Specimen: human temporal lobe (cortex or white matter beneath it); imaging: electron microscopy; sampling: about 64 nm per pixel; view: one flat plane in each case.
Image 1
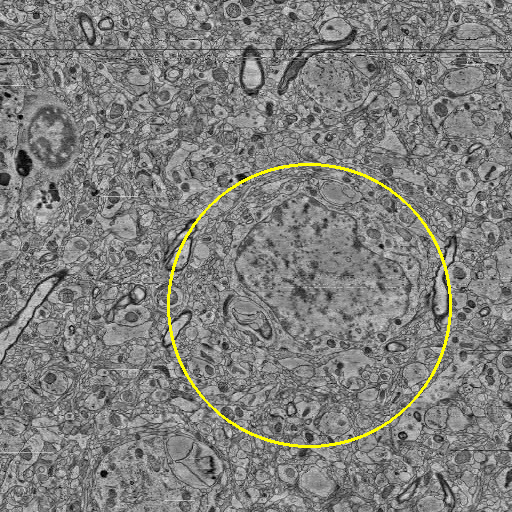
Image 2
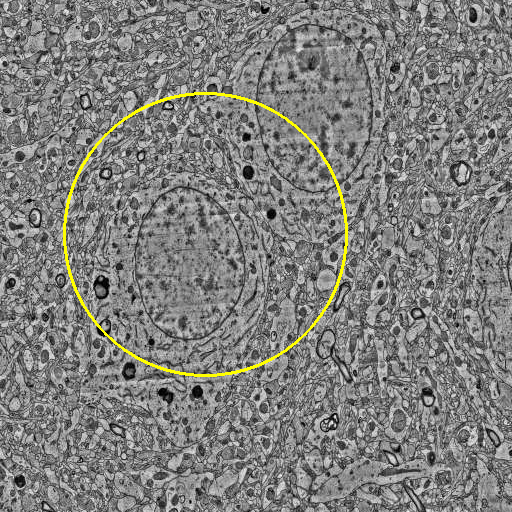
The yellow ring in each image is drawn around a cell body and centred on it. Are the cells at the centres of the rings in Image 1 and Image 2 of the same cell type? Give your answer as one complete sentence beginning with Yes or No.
No, the two cells are of two separate types.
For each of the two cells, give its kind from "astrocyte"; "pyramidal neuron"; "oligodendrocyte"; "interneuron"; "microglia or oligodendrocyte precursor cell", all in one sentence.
The first picture has an interneuron in its ring, the second has a pyramidal neuron.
